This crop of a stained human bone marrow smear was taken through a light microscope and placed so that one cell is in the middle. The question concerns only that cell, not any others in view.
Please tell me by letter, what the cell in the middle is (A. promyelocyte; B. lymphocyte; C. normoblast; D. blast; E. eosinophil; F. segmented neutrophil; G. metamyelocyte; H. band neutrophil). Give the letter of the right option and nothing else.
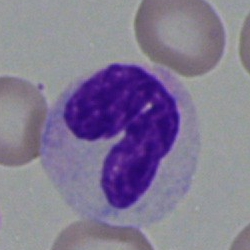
F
